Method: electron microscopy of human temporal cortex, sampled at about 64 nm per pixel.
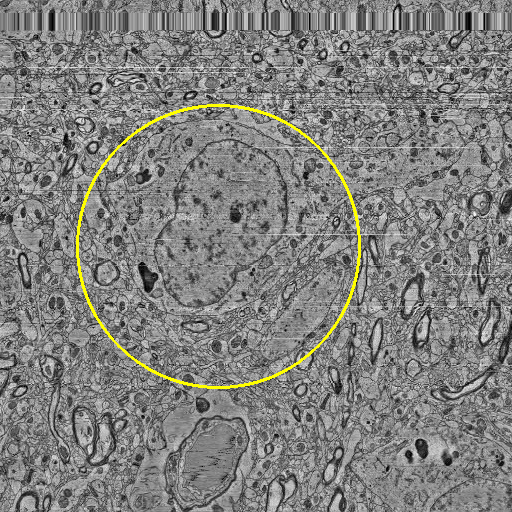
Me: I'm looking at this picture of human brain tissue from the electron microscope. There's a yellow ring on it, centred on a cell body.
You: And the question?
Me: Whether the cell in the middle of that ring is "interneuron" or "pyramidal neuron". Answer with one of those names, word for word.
pyramidal neuron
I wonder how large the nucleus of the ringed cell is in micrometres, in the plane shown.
The nucleus is approximately 11 micrometers long by 8 micrometers wide in this plane.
